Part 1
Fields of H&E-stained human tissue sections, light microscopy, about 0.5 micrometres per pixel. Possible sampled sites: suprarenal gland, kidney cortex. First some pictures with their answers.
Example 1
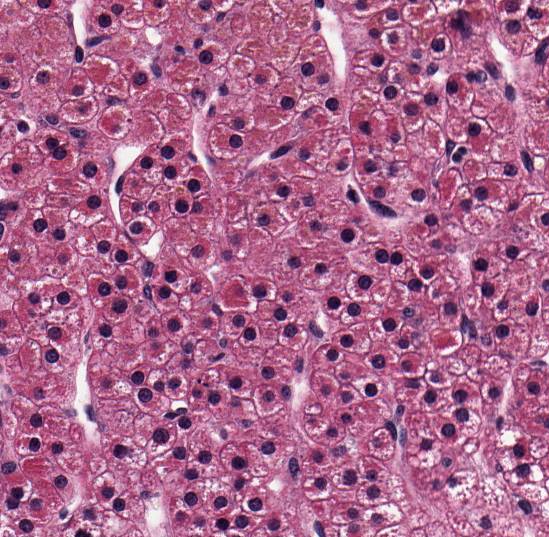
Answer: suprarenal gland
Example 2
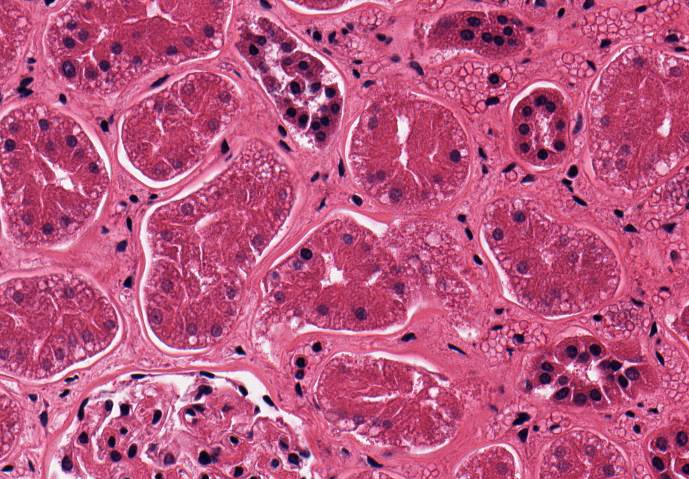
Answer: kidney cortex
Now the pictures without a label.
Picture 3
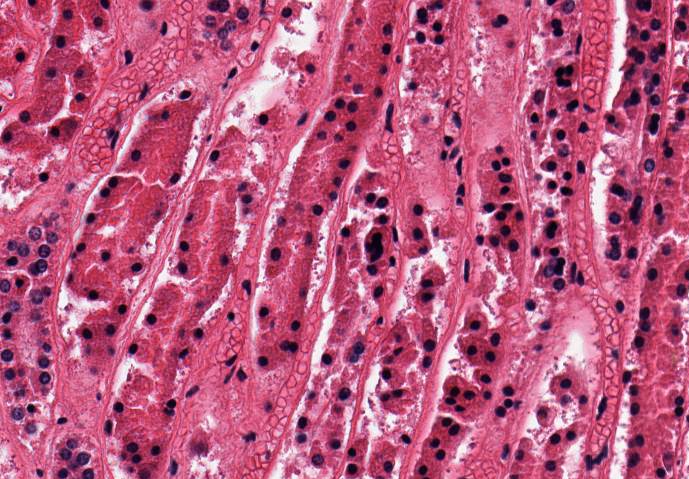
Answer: kidney cortex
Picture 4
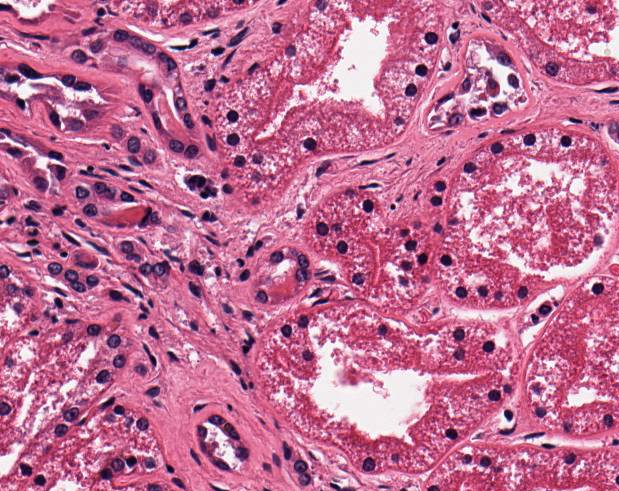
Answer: kidney cortex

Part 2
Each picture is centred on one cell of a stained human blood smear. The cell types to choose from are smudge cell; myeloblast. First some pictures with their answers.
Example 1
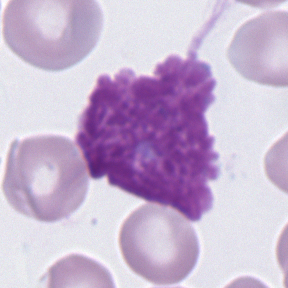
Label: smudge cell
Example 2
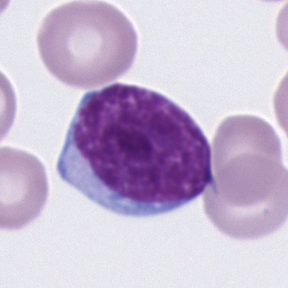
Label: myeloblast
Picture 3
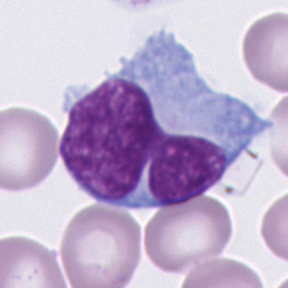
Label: myeloblast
